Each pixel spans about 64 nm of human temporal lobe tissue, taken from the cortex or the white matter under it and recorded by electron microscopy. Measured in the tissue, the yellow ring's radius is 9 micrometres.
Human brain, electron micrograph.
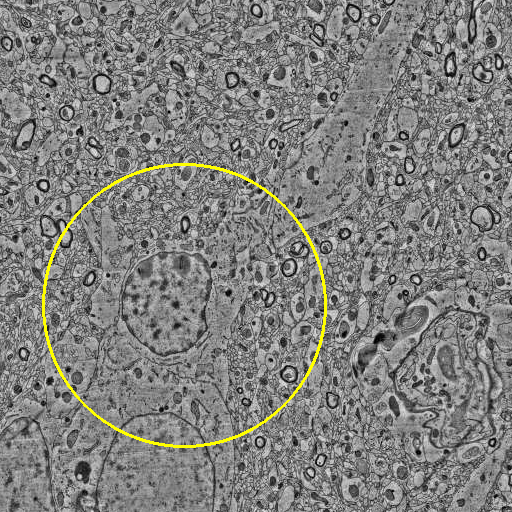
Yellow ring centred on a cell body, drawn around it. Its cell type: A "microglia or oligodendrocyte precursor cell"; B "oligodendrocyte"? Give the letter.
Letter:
A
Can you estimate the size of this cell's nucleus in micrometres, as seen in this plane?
Roughly 7 micrometres by 6 micrometres, in this plane.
